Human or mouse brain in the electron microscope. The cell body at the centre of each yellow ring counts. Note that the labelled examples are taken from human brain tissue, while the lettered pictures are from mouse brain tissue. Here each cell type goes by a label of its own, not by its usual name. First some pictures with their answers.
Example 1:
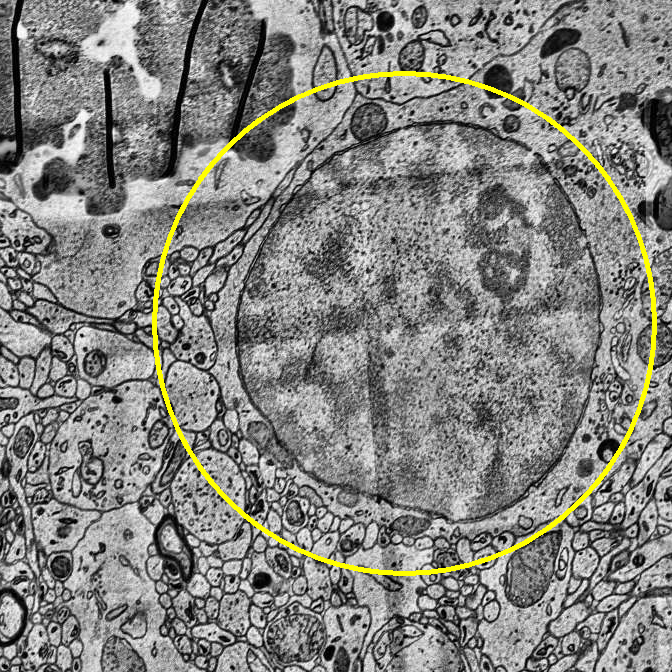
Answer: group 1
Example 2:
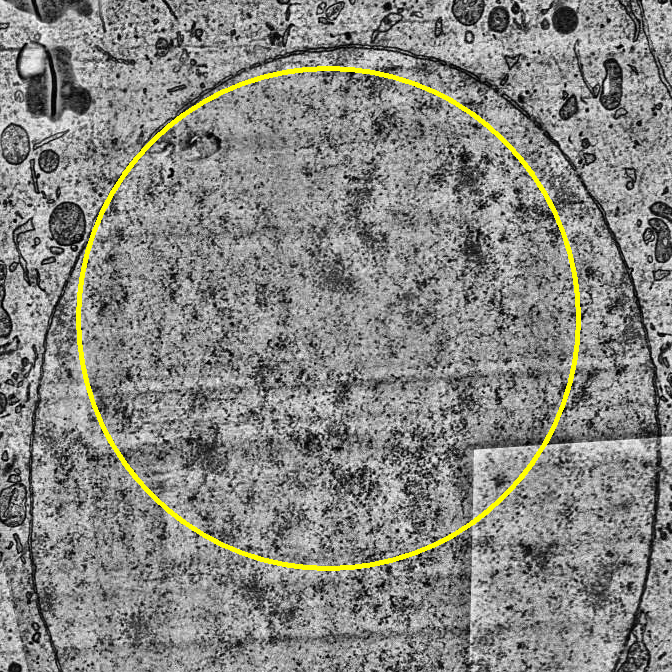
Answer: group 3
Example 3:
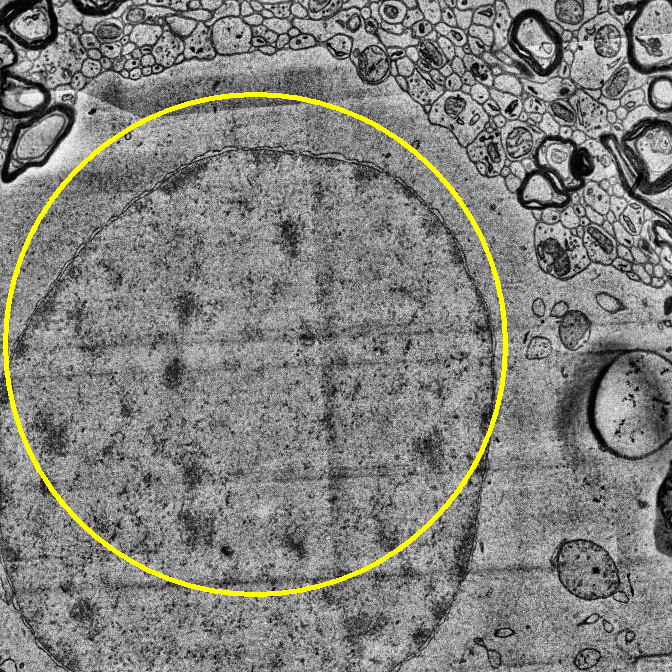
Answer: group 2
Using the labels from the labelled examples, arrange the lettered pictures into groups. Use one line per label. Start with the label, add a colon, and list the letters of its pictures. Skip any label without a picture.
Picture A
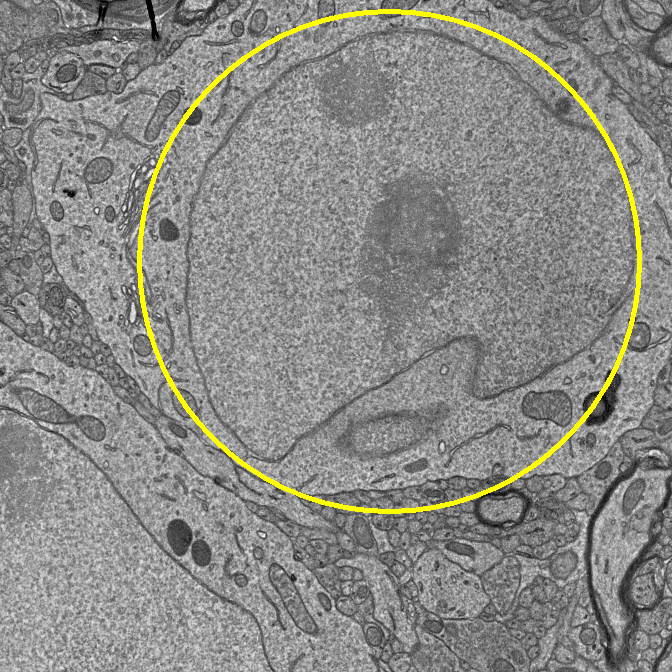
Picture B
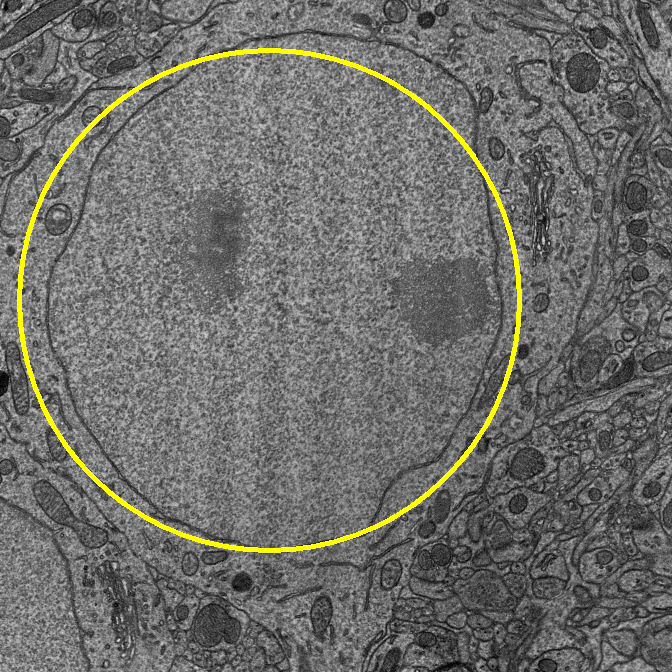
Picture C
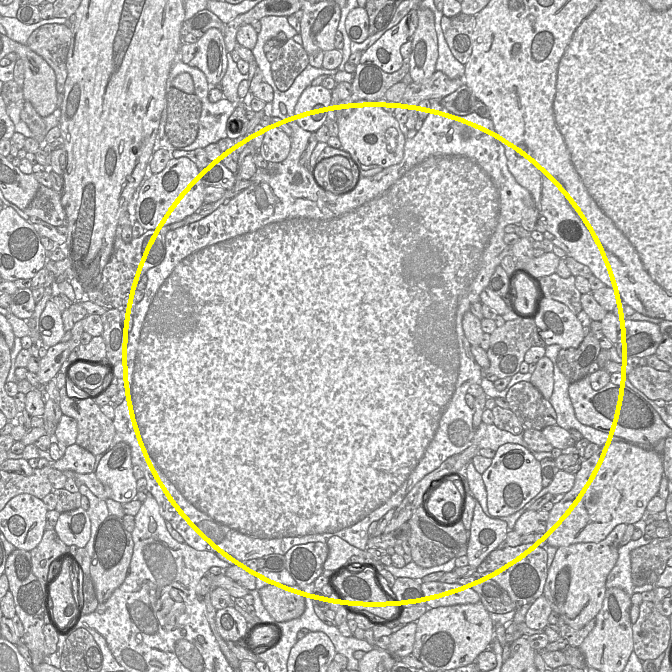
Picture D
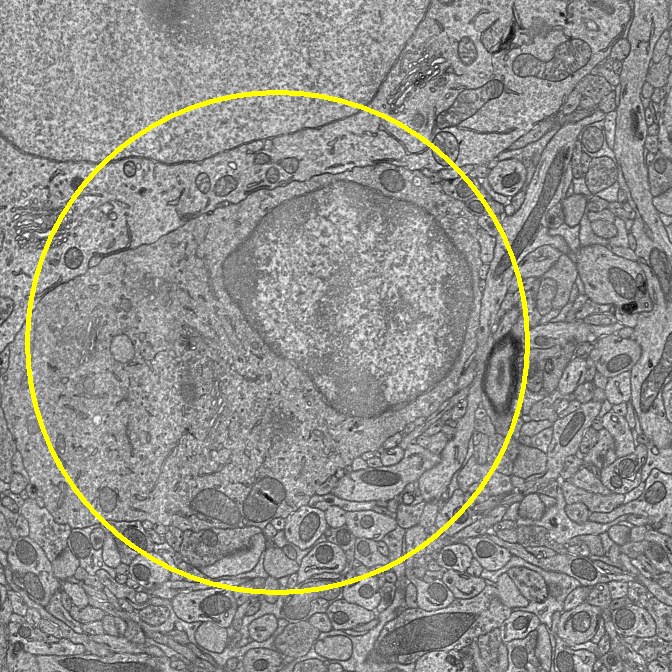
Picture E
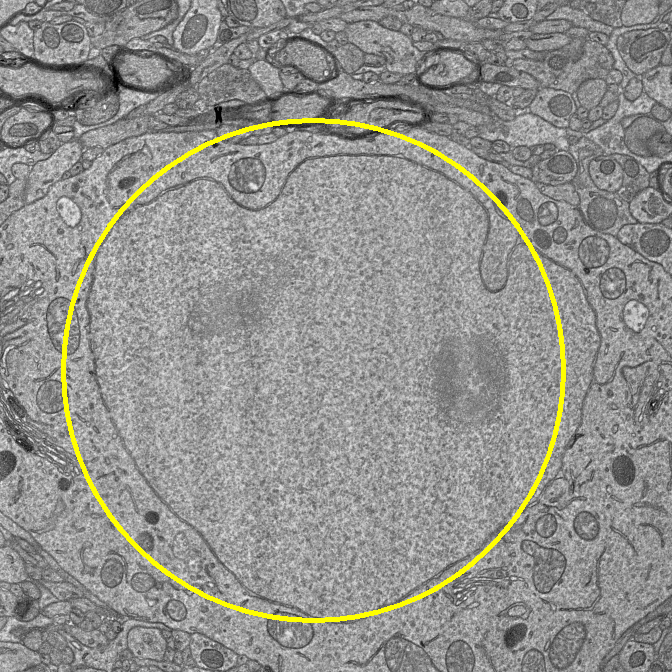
group 1: D
group 3: A, B, E
group 2: C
